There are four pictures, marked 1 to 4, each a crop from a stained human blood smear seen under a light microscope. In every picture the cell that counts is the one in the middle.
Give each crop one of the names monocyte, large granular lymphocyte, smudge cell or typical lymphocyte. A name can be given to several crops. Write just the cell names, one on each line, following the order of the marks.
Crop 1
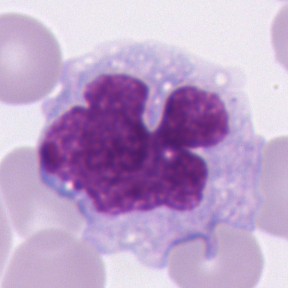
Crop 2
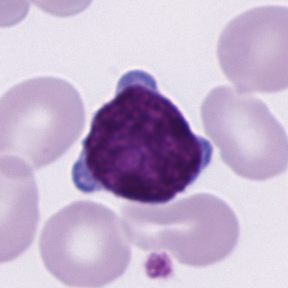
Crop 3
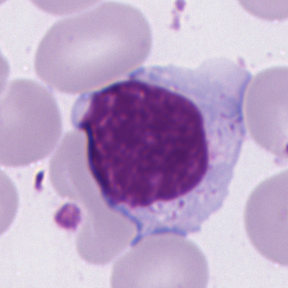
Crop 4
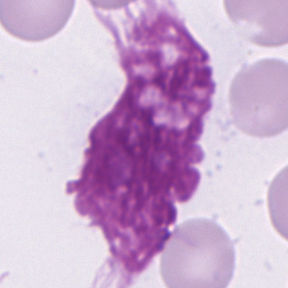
monocyte
typical lymphocyte
large granular lymphocyte
smudge cell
